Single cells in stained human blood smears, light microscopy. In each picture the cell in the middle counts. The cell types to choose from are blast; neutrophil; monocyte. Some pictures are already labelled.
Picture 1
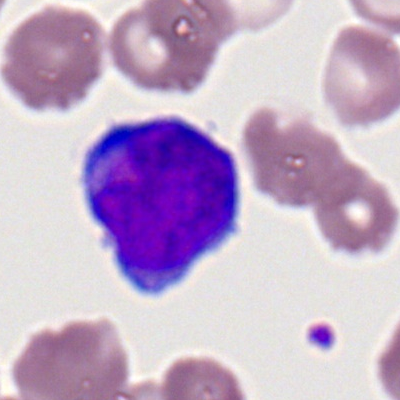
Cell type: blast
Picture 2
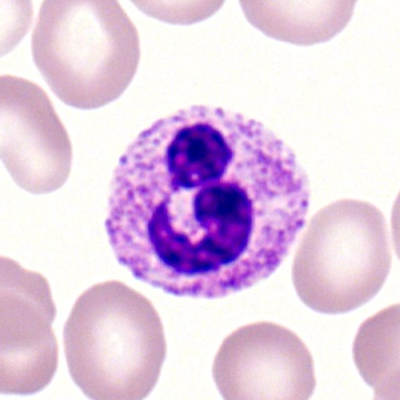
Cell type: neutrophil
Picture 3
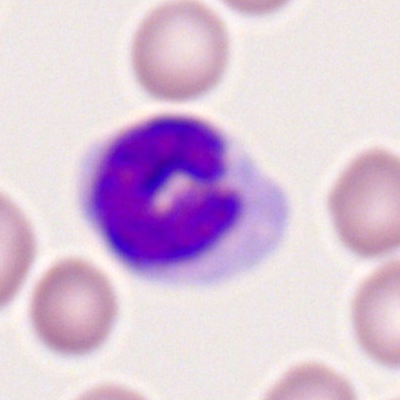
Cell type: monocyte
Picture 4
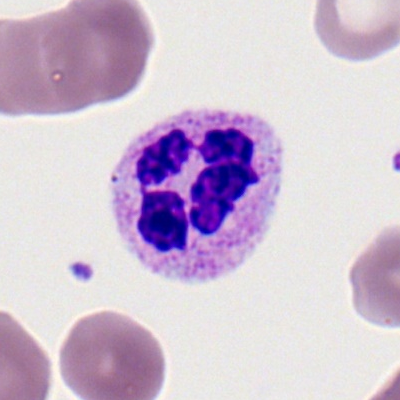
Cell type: neutrophil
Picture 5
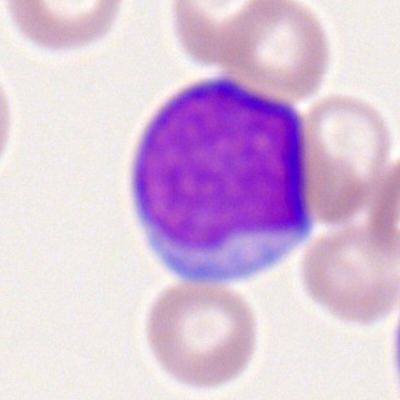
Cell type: blast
